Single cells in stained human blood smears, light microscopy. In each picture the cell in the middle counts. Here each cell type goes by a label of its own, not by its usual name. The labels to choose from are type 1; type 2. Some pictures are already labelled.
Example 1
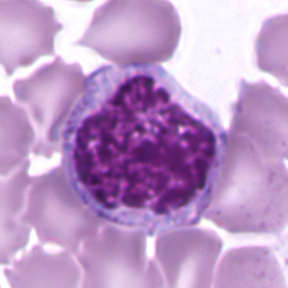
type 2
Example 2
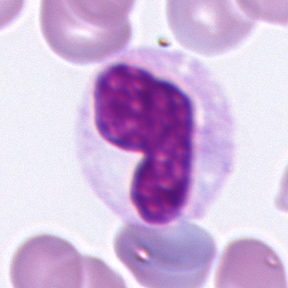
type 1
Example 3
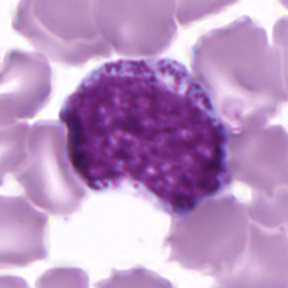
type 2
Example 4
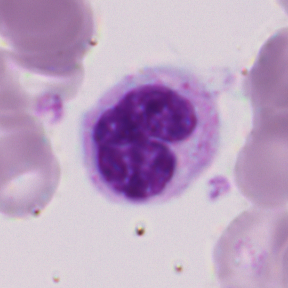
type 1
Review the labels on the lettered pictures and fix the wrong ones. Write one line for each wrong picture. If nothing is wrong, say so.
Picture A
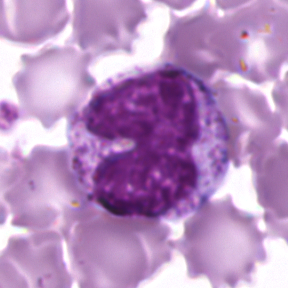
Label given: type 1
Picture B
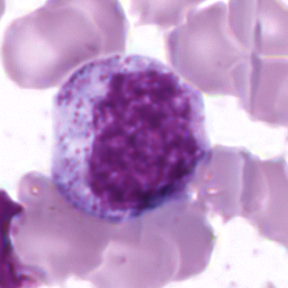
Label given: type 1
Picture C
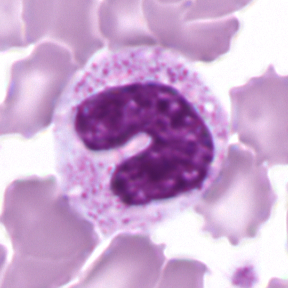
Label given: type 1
B: change type 1 to type 2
